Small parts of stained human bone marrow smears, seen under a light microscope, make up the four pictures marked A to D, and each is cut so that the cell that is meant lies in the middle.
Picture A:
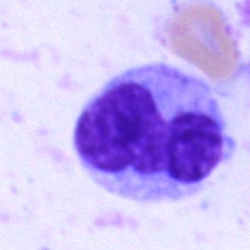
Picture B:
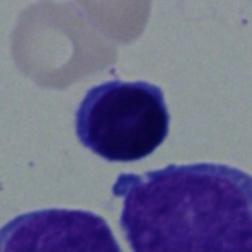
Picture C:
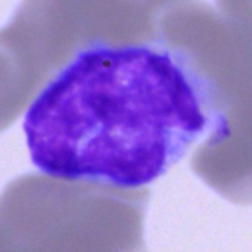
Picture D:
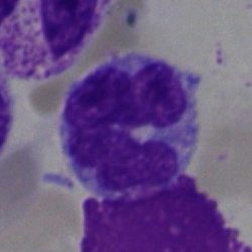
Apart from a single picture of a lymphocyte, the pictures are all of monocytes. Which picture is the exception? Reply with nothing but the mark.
B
